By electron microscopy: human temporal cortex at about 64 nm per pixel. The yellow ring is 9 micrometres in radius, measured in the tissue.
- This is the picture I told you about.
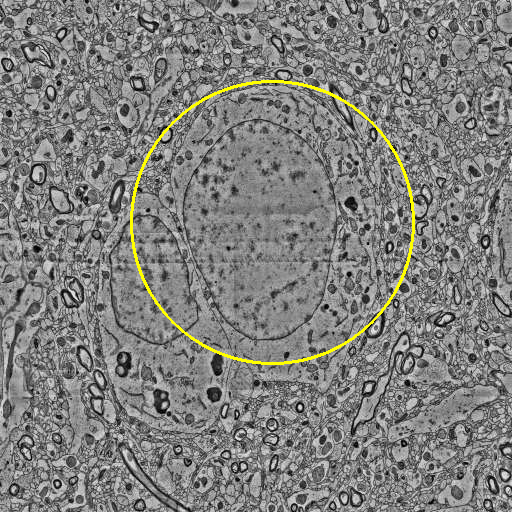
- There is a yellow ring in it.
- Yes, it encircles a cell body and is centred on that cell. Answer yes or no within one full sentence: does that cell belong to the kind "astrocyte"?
No, the cell on which the yellow ring is centred belongs to a different kind.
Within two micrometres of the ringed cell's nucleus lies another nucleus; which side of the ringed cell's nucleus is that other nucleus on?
The other nucleus sits to the left of it.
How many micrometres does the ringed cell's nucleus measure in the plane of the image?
The nucleus comes to roughly 14 by 10 micrometres in this plane.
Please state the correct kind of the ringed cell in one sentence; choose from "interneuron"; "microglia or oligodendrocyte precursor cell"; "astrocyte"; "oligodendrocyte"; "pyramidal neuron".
The cell circled by the yellow ring is a pyramidal neuron.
